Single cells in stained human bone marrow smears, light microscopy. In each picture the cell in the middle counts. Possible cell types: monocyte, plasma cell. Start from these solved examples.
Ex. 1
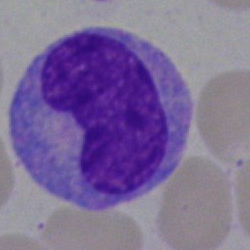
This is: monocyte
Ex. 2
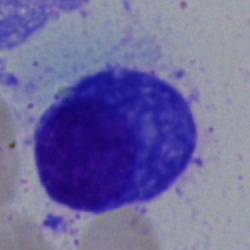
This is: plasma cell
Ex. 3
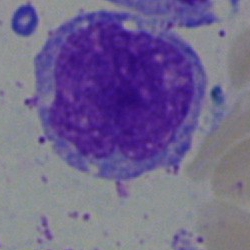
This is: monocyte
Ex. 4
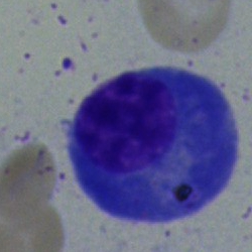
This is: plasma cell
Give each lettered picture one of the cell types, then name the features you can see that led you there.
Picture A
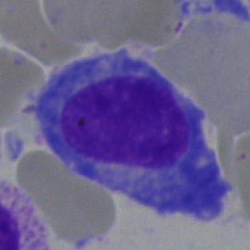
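plasma cell. The cytoplasm is abundant and stains a deep blue.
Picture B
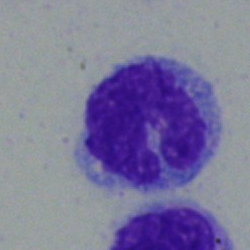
monocyte. The nucleus fills most of the cell.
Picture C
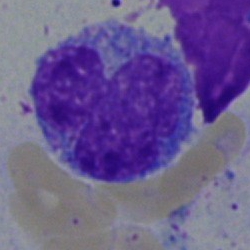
monocyte. The nucleus fills most of the cell.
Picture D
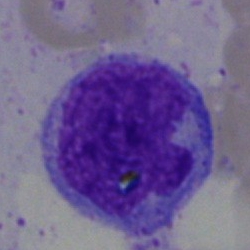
monocyte. The nucleus fills most of the cell.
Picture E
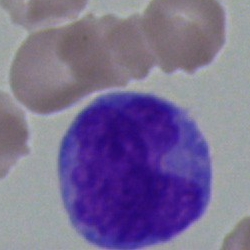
monocyte. The nucleus fills almost the whole cell.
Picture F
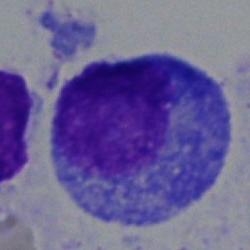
plasma cell. The cytoplasm forms a broad crescent on the lower right side of the nucleus.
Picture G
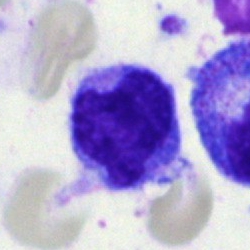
monocyte. The nucleus fills most of the cell.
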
